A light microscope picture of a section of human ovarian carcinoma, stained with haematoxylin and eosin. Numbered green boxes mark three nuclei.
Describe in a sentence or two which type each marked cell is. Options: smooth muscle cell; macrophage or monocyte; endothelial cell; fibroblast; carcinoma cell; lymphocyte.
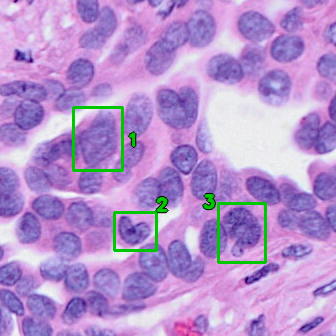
Cells 1 and 3 are carcinoma cells. Cell 2 is a macrophage or monocyte.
